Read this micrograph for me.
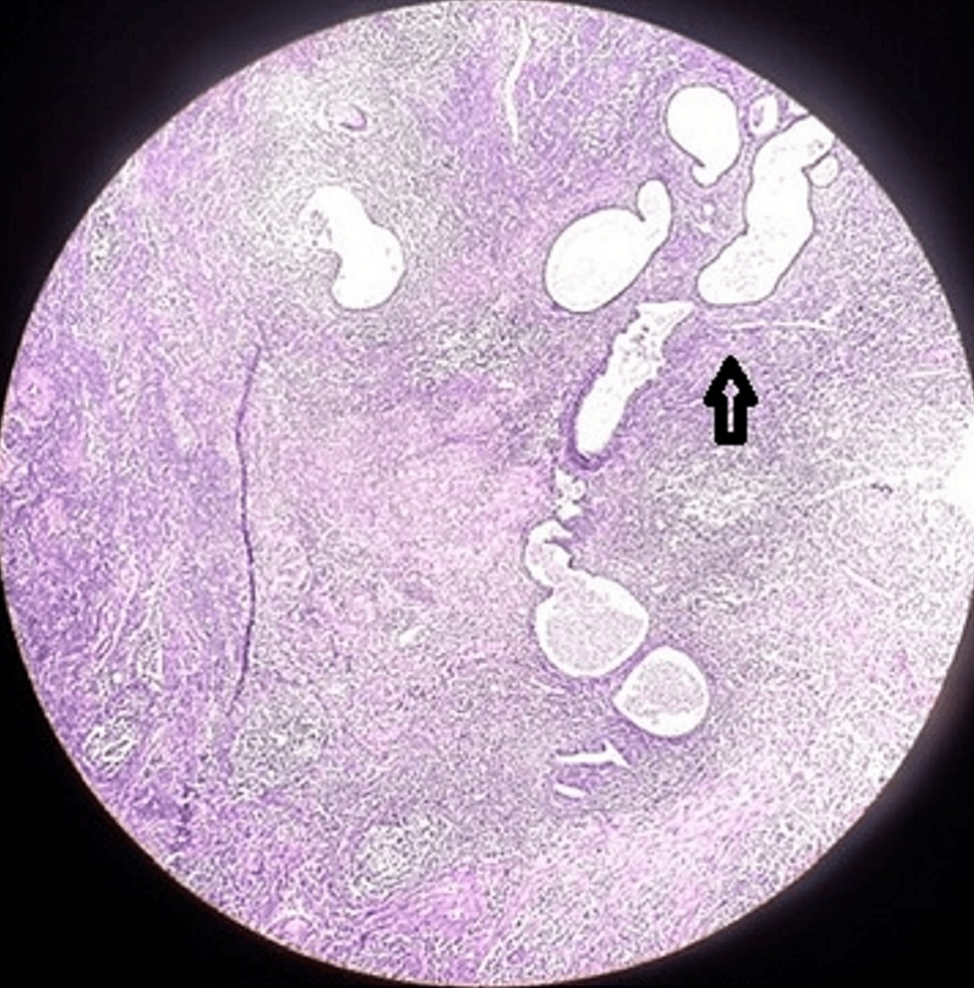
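Endometrium at low power with cystically dilated, atrophic glands set in densely cellular stroma. Several glands are widened into round or irregular, sac-like spaces with pale, nearly empty lumina, lined by a thin, flattened epithelium. Others are narrow and slit-like. The dilated glands lie mostly in a loose chain through the right half of the field. Between them the stroma is packed with small cells whose nuclei stain dark purple, forming patchy, more crowded areas against paler pink zones, in keeping with chronic inflammatory infiltration. Cellular detail of single cells is limited at this magnification.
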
